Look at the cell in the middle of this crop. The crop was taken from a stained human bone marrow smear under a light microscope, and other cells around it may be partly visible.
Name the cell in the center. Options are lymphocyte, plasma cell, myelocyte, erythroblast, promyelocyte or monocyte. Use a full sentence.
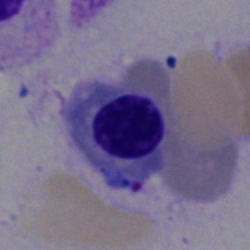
As for the central cell, it is an erythroblast.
